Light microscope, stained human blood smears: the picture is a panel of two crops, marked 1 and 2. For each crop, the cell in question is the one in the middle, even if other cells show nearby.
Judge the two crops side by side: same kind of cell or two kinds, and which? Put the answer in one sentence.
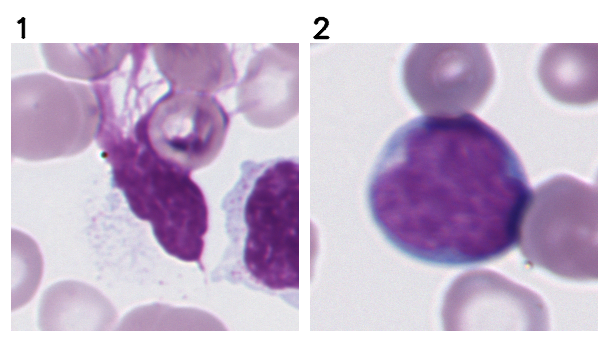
No, sorry, crop 1 shows a smudge cell and crop 2 shows a myeloblast.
